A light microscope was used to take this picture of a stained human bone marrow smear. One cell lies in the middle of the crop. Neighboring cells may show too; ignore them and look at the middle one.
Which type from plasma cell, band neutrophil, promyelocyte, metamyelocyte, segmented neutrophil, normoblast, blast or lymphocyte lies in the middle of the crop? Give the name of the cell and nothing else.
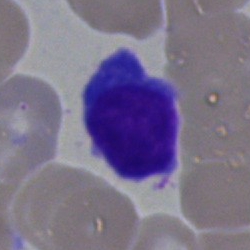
plasma cell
